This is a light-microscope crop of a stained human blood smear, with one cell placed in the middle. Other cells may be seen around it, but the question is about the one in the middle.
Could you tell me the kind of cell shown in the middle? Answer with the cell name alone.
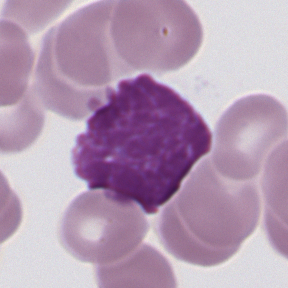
smudge cell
